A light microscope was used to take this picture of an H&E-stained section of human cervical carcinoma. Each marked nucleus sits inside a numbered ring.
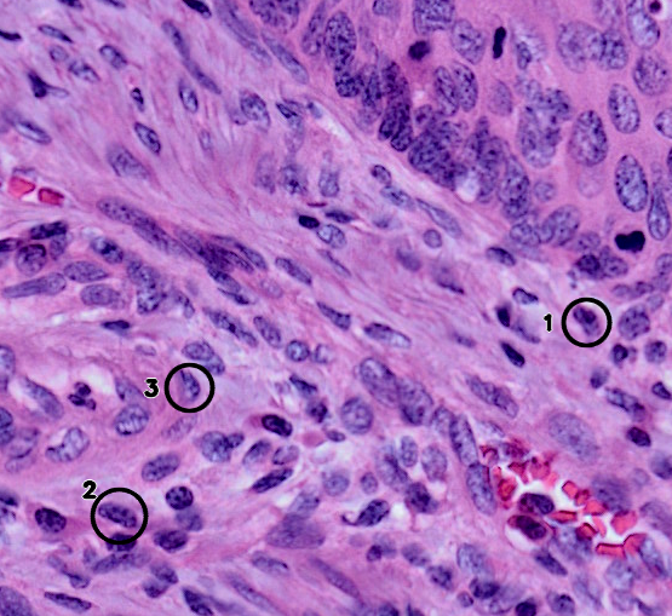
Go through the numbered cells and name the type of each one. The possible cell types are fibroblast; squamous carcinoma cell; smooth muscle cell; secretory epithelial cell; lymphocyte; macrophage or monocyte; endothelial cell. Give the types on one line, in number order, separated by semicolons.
lymphocyte; lymphocyte; smooth muscle cell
